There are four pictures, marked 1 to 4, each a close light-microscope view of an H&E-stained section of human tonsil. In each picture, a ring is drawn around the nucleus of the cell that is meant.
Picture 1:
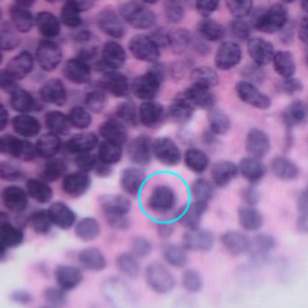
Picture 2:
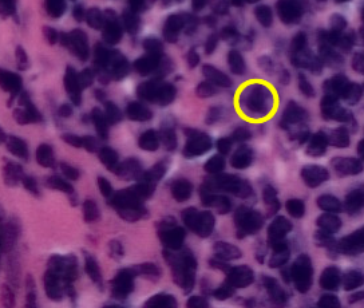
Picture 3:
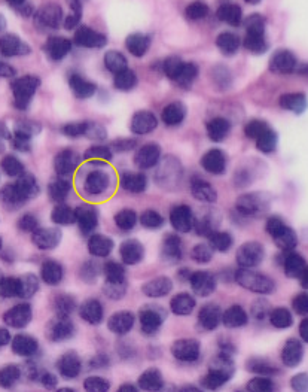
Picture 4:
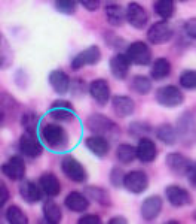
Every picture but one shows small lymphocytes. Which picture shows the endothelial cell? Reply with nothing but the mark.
2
